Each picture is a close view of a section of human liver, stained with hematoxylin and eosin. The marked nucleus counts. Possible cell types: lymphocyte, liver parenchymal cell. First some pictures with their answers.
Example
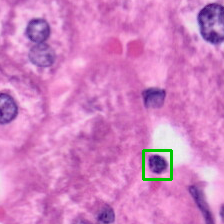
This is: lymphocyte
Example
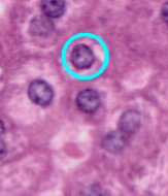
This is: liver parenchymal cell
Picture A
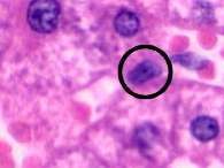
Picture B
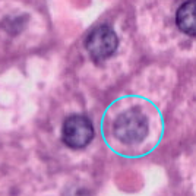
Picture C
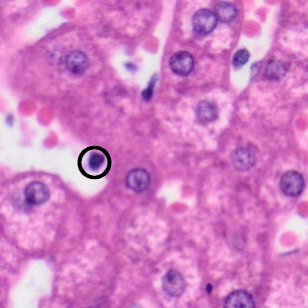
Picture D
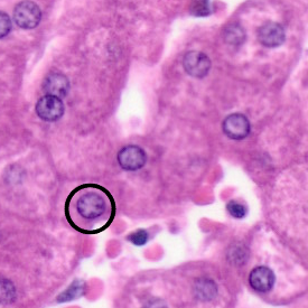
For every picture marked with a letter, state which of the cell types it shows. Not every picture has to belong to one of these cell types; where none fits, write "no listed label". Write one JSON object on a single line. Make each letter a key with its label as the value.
{"A": "no listed label", "B": "liver parenchymal cell", "C": "lymphocyte", "D": "liver parenchymal cell"}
